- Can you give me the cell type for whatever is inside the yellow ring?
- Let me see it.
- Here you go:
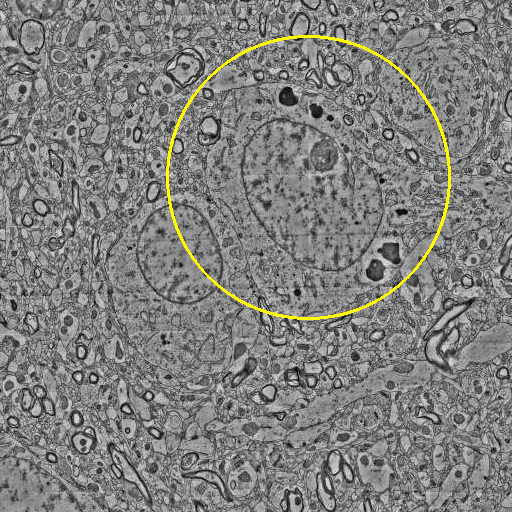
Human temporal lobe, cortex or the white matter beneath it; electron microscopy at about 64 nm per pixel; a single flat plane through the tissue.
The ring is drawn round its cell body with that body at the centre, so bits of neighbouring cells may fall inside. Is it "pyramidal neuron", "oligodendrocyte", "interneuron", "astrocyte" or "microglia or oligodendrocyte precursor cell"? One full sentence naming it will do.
The cell body in the middle of the ring in this picture belongs to a pyramidal neuron.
